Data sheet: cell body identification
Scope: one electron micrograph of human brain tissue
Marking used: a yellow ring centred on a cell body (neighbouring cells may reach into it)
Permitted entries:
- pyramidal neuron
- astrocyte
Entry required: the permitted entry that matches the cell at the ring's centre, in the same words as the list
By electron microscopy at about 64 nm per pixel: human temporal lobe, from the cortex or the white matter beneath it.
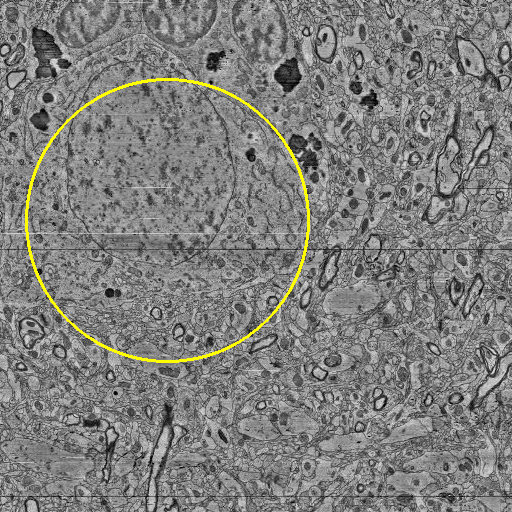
pyramidal neuron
